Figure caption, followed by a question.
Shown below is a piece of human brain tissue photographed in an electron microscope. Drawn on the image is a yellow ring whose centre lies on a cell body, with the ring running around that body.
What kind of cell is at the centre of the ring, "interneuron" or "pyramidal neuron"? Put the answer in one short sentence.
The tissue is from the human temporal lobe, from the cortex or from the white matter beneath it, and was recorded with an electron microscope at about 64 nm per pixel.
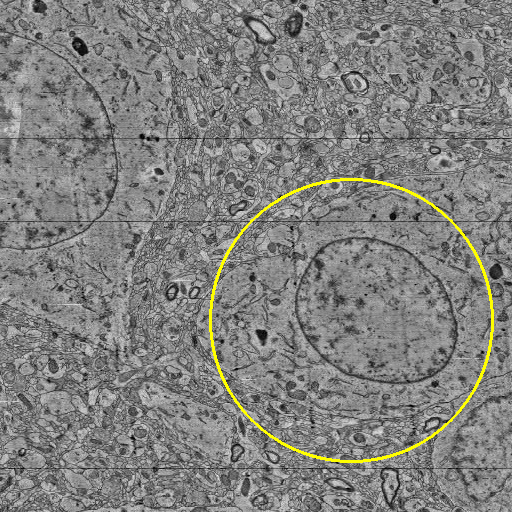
The ring marks the cell body of a pyramidal neuron.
